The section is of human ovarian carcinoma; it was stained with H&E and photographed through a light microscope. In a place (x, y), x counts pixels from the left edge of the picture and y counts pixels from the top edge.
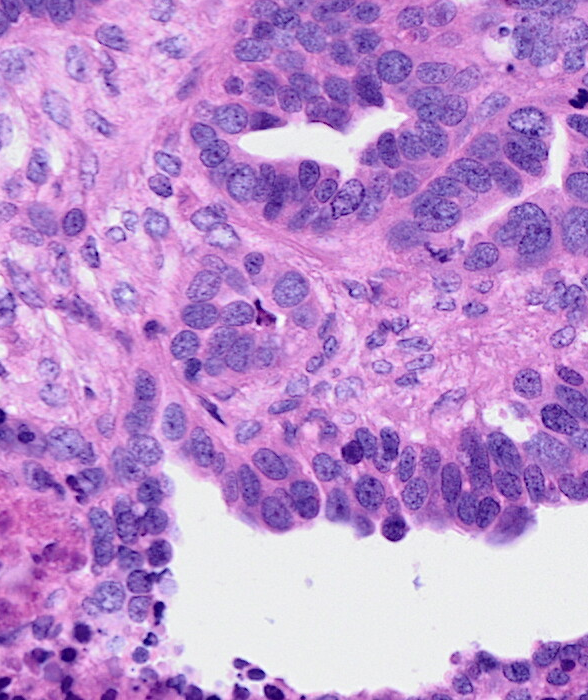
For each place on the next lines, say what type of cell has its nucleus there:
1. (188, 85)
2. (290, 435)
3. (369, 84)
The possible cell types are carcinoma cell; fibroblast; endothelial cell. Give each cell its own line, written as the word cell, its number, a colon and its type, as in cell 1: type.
cell 1: fibroblast
cell 2: fibroblast
cell 3: carcinoma cell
